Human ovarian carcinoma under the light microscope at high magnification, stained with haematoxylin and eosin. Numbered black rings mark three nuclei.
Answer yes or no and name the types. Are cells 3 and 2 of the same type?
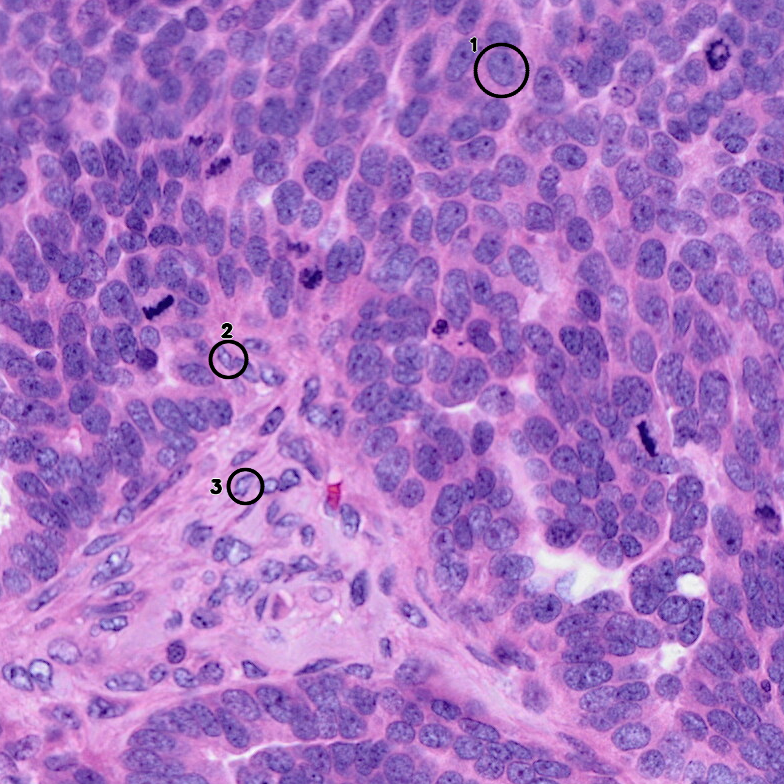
Yes, cells 3 and 2 are both fibroblasts.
